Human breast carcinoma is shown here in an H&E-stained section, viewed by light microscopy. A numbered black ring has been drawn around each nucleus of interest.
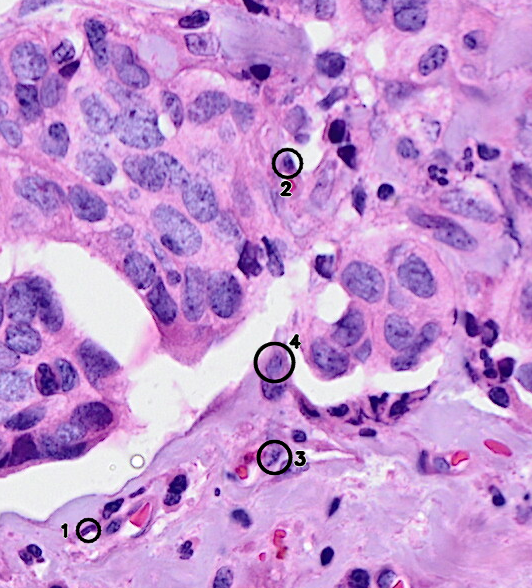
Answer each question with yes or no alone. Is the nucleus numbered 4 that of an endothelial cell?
yes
